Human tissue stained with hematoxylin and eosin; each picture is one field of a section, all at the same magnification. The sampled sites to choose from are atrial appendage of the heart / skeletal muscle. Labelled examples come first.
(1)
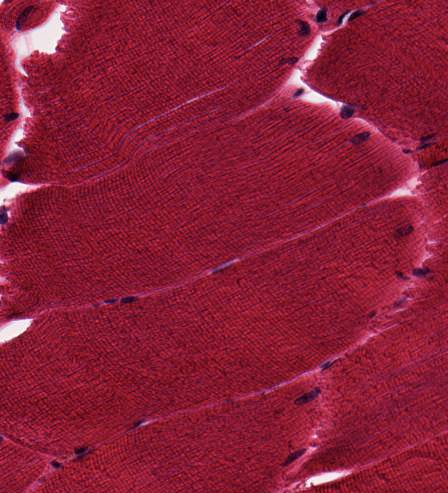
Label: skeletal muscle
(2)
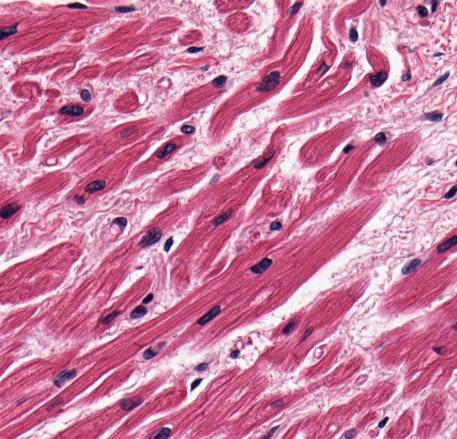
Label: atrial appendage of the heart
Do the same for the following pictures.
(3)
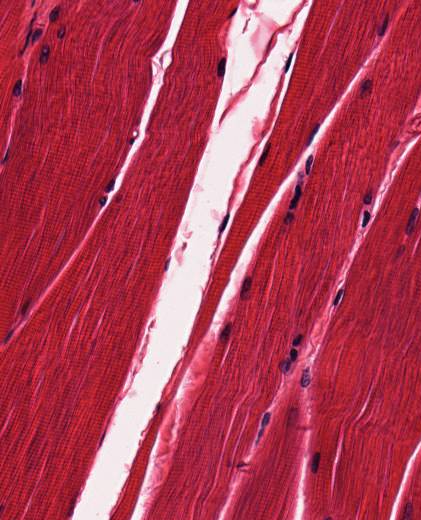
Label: skeletal muscle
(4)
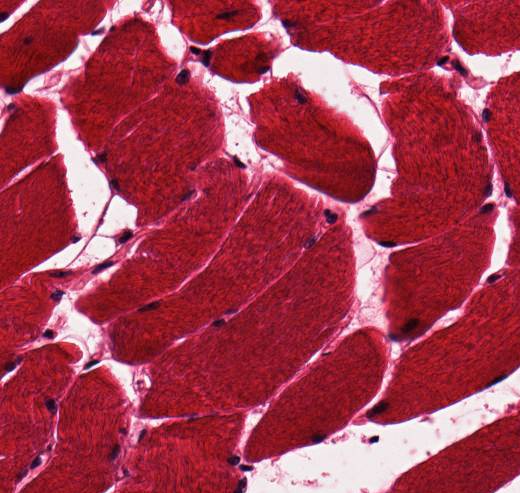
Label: skeletal muscle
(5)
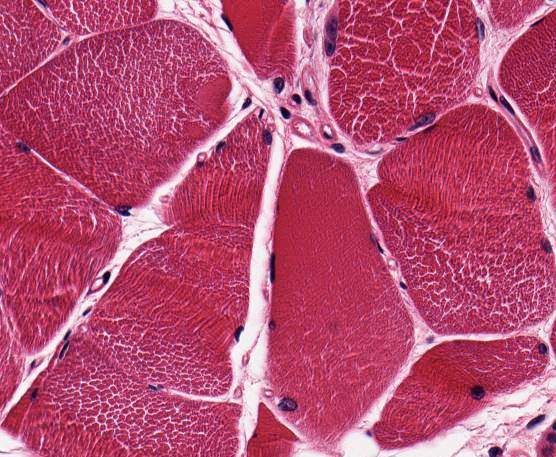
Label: skeletal muscle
